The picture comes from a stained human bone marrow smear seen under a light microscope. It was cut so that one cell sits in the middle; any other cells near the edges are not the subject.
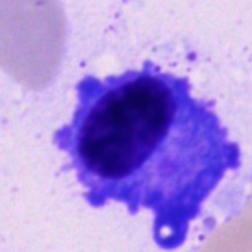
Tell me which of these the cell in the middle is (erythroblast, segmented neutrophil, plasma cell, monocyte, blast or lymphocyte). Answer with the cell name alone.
plasma cell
